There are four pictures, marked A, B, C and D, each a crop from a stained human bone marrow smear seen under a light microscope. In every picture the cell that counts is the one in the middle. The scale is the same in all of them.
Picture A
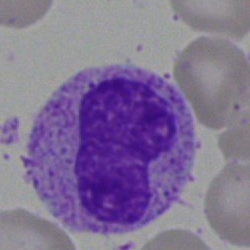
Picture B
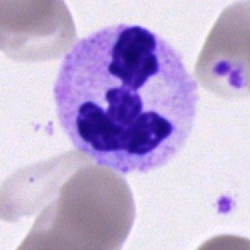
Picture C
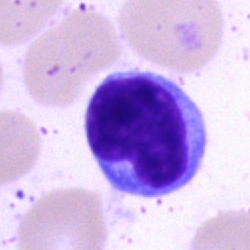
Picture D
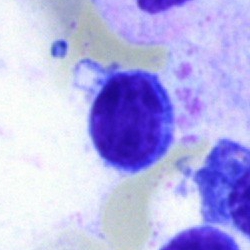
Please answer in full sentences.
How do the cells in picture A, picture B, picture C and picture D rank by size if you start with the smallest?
From the smallest up, the order is D, C, B, A.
